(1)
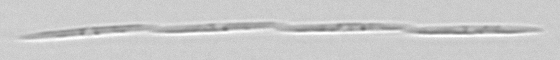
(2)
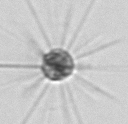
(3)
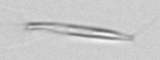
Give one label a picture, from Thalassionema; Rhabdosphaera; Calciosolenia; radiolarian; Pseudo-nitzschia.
1. Pseudo-nitzschia
2. radiolarian
3. Calciosolenia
